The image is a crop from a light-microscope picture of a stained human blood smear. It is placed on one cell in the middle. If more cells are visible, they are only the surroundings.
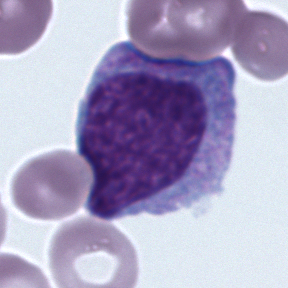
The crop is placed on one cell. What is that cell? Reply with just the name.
atypical promyelocyte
